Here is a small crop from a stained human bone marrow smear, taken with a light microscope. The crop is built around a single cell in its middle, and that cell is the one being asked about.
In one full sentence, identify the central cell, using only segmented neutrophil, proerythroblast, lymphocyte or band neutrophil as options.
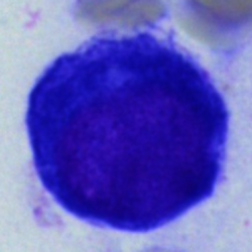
What the crop centres on is a proerythroblast.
